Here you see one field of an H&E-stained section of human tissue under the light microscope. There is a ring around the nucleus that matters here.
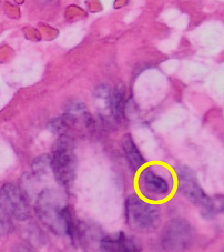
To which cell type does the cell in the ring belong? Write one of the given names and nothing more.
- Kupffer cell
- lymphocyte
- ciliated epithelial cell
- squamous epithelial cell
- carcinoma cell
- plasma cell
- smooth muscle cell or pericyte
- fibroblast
ciliated epithelial cell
